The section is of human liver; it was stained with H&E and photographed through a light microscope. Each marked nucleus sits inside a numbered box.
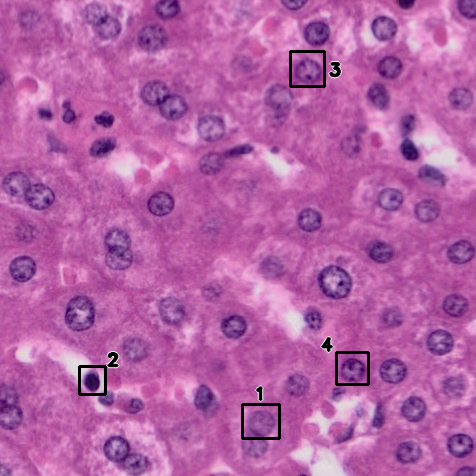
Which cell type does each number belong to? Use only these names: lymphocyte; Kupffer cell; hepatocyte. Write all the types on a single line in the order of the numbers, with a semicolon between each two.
hepatocyte; lymphocyte; hepatocyte; hepatocyte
